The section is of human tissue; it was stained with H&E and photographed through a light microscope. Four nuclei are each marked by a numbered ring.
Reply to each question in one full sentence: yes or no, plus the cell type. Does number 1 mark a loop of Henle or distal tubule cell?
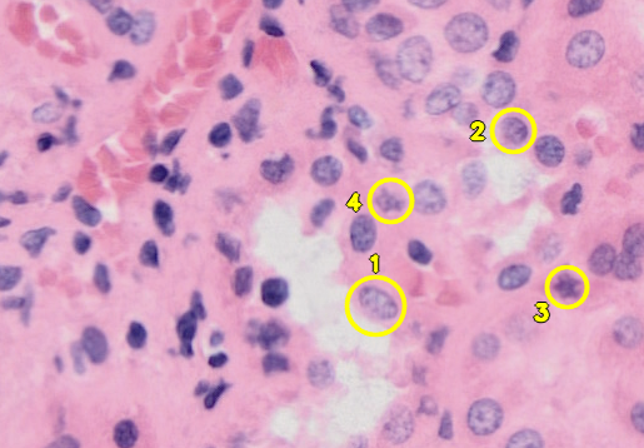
Yes, that is so; number 1 marks a loop of Henle or distal tubule cell.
